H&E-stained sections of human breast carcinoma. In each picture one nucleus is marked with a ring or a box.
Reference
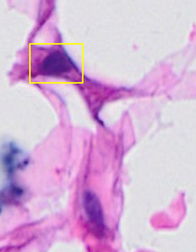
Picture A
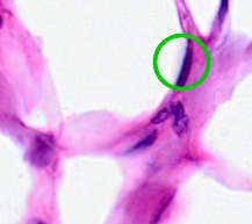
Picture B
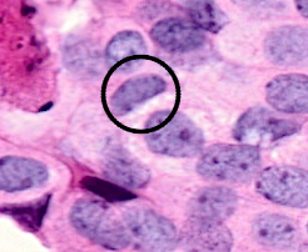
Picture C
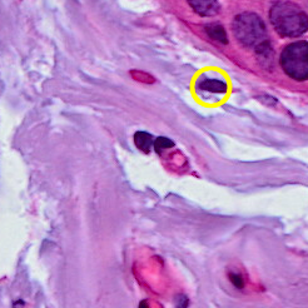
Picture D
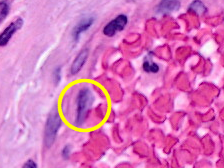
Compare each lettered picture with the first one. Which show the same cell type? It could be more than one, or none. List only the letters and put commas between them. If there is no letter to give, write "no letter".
A, D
